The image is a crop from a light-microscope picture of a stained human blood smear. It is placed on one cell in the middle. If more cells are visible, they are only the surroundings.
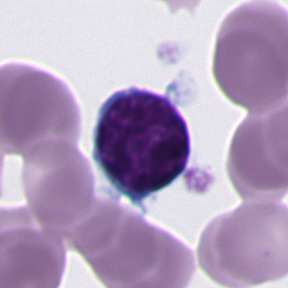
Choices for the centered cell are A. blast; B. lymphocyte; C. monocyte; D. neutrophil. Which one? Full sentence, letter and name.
The cell centred in the crop is a lymphocyte, and the correct option is thus B.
